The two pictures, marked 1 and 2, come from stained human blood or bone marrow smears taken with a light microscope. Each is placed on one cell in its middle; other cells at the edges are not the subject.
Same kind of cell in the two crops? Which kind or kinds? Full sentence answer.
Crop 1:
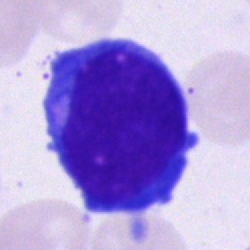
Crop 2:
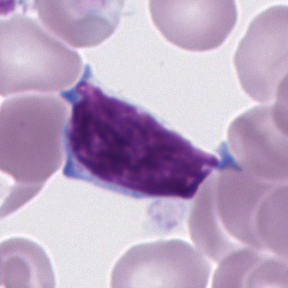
No, crop 1 shows a blast, and crop 2, by contrast, shows a lymphocyte.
